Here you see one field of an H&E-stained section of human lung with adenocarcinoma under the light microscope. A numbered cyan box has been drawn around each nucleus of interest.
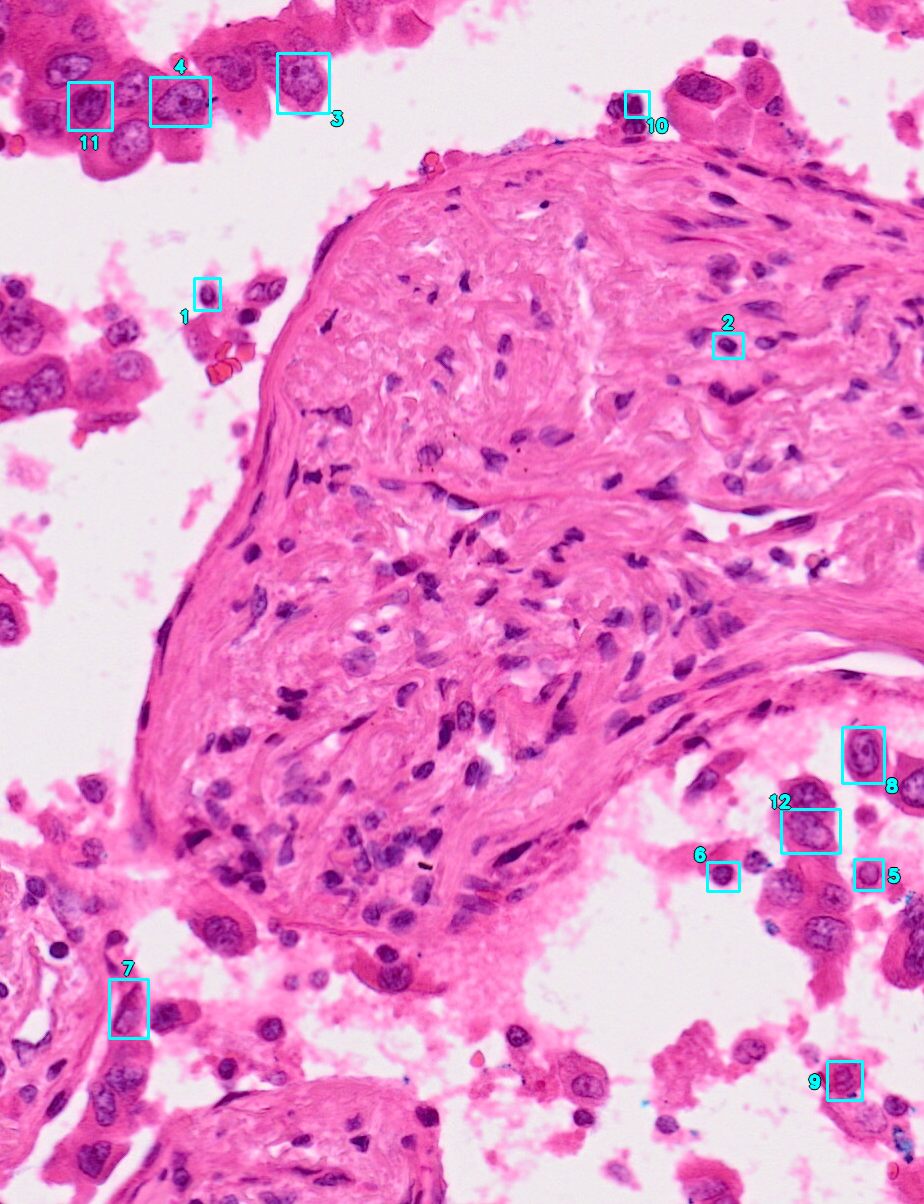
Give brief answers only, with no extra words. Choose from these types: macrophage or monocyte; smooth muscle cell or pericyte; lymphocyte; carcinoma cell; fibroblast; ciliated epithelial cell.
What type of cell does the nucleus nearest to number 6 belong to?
lymphocyte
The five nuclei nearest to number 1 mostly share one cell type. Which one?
macrophage or monocyte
